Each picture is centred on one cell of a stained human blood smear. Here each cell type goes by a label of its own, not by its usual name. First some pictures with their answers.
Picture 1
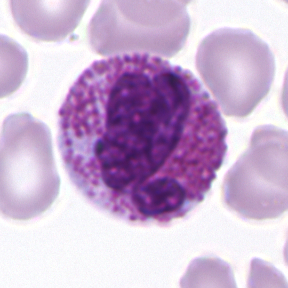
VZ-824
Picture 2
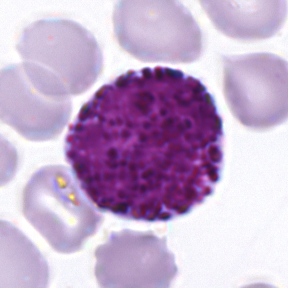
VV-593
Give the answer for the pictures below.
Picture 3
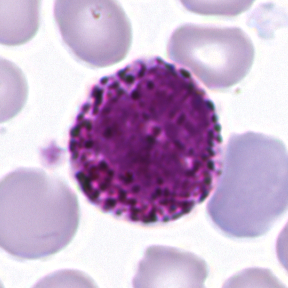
VV-593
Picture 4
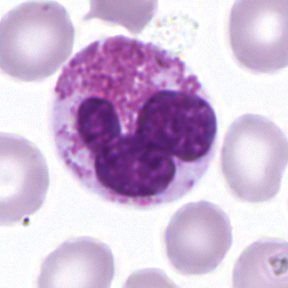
VZ-824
